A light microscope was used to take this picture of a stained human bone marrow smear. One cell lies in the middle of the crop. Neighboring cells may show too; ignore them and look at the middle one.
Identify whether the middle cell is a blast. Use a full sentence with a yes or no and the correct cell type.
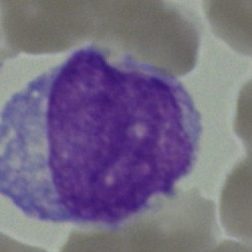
No, not a blast here; the centered cell is a monocyte.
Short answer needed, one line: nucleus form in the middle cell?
What stands out is a nucleus forming one compact round, oval or kidney-shaped mass.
